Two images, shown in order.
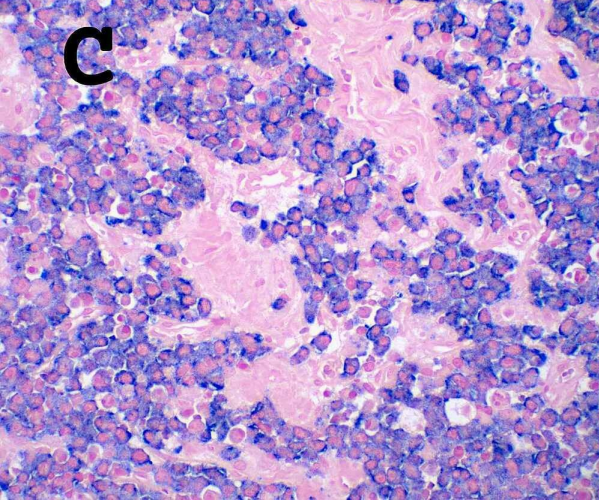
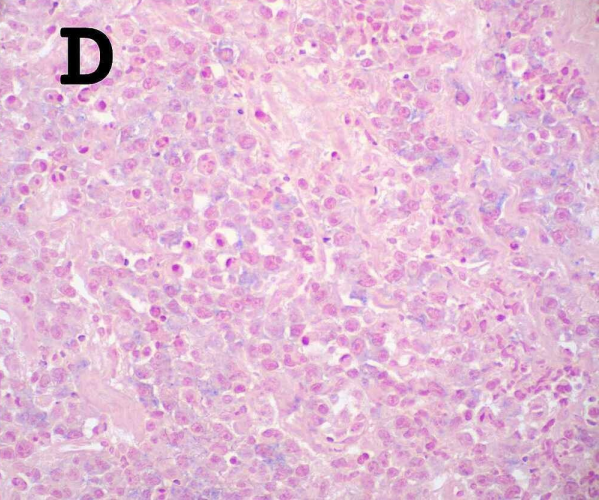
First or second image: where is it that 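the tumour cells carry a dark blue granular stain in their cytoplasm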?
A: The first image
